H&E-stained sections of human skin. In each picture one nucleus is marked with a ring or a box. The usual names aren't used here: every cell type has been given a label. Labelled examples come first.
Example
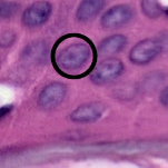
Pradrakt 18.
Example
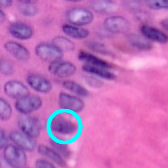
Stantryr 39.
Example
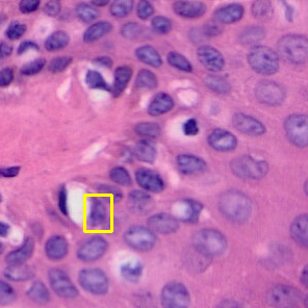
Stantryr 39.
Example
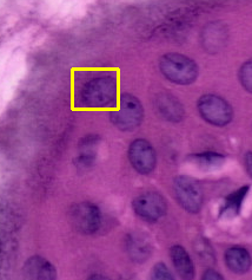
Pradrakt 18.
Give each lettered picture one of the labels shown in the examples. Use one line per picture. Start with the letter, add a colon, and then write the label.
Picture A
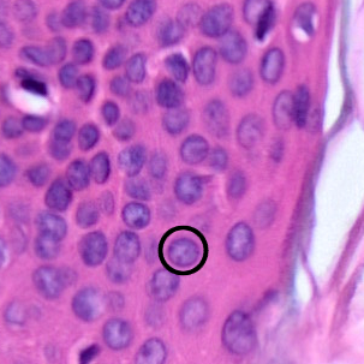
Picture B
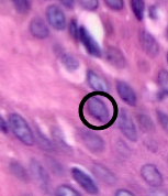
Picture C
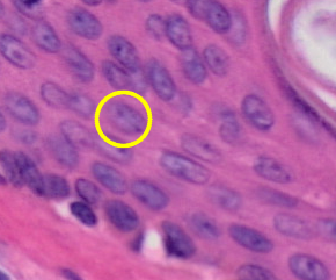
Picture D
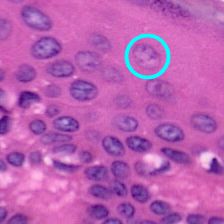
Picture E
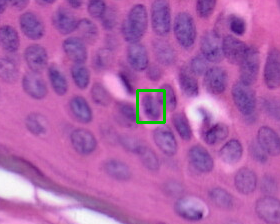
A: Pradrakt 18.
B: Stantryr 39.
C: Pradrakt 18.
D: Pradrakt 18.
E: Stantryr 39.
